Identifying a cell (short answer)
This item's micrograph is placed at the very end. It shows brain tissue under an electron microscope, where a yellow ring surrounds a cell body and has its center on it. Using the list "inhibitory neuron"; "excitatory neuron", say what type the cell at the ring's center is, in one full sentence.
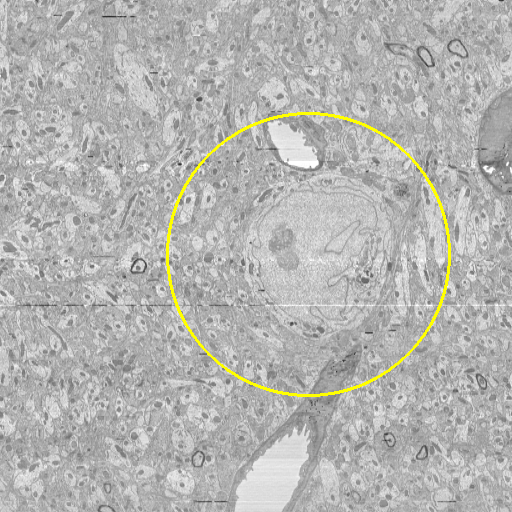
This picture shows an inhibitory neuron at the center of the yellow ring drawn on it.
